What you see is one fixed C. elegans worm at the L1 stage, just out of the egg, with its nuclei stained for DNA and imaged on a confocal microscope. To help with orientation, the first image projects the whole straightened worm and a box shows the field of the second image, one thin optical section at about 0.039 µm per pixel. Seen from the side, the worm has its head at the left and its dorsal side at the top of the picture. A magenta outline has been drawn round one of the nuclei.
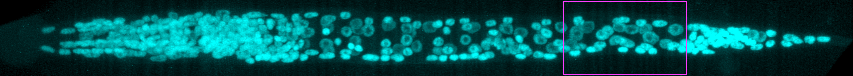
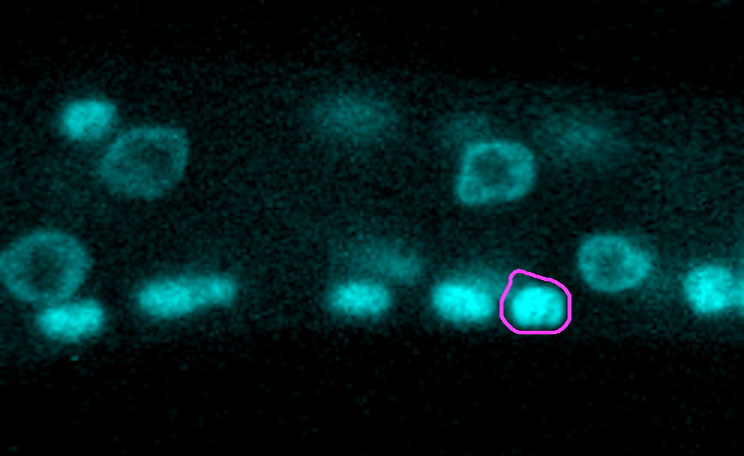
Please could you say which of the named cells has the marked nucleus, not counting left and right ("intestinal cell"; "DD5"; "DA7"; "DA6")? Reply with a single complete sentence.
The cell whose nucleus is marked is DA7, a neuron.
